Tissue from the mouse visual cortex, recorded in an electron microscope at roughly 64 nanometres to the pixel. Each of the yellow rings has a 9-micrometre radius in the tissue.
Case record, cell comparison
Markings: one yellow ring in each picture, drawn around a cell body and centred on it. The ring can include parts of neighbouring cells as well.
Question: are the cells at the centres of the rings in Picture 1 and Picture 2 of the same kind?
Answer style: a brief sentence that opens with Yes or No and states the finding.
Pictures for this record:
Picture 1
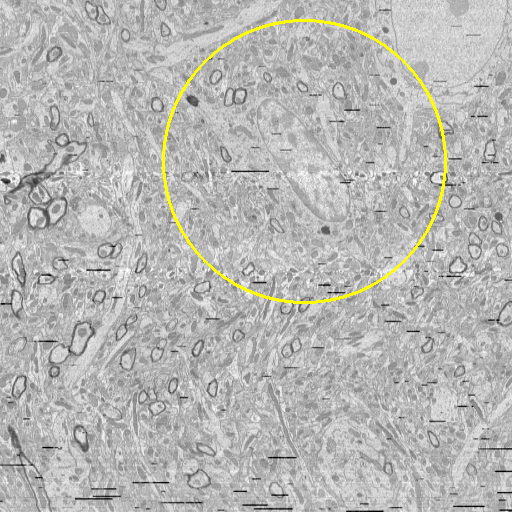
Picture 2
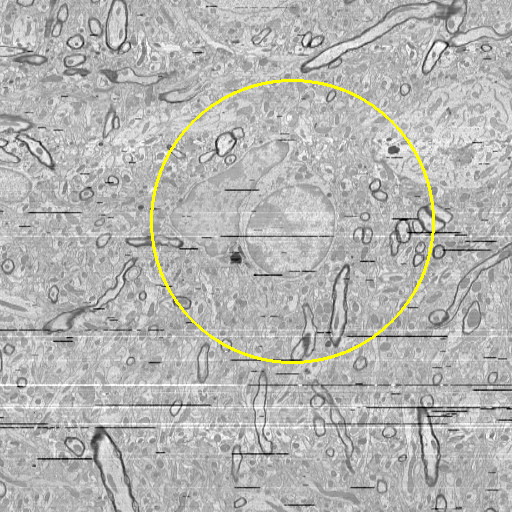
Yes, the cells in Picture 1 and Picture 2 are of the same kind.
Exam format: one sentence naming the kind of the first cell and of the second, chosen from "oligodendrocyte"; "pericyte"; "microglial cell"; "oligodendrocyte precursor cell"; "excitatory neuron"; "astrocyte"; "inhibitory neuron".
In each of the two pictures, the ringed cell is an oligodendrocyte.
